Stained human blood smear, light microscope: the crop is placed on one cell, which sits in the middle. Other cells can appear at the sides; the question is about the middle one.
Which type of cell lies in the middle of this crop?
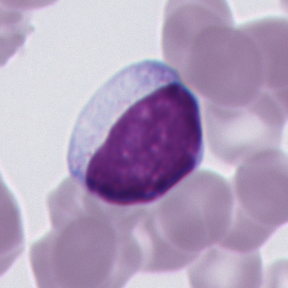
large granular lymphocyte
